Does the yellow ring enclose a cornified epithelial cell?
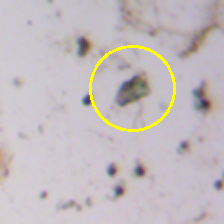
Yes. The ring encloses a cornified epithelial cell.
